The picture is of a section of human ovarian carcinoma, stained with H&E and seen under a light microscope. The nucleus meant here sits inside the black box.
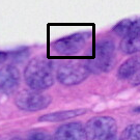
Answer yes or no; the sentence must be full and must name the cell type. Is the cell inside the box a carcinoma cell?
Yes, with respect to cell type, the cell inside the box is a carcinoma cell.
